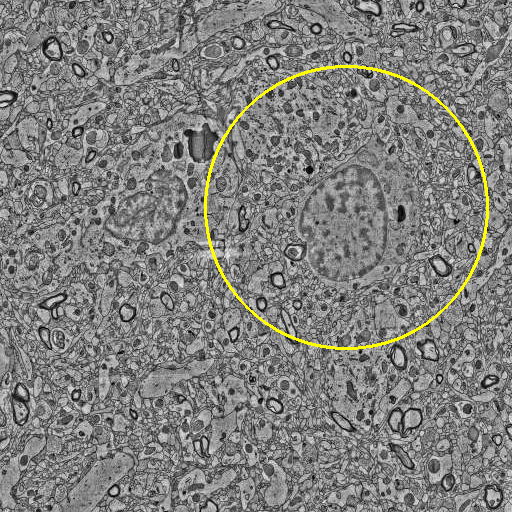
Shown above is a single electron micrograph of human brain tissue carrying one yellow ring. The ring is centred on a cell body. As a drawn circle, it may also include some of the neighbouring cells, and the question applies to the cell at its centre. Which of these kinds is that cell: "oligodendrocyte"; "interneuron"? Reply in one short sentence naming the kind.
The cell marked by the ring is an oligodendrocyte.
